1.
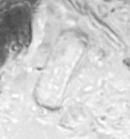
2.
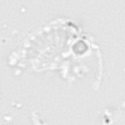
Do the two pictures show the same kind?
Yes, both are Stephanodiscus.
